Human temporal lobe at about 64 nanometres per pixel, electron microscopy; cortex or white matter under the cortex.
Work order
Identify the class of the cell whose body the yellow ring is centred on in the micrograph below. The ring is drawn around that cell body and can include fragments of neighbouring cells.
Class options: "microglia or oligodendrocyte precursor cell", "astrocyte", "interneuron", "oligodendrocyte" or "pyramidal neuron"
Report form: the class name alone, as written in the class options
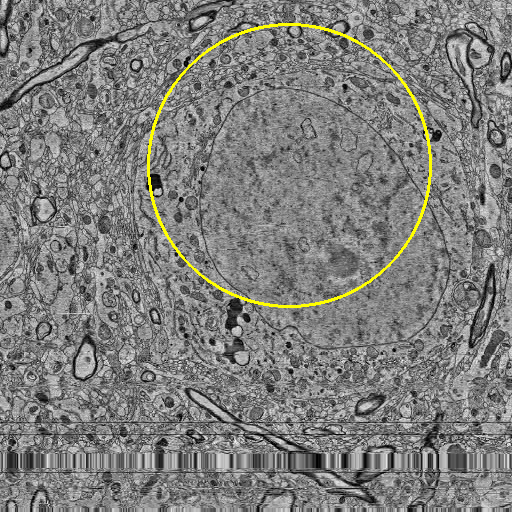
pyramidal neuron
